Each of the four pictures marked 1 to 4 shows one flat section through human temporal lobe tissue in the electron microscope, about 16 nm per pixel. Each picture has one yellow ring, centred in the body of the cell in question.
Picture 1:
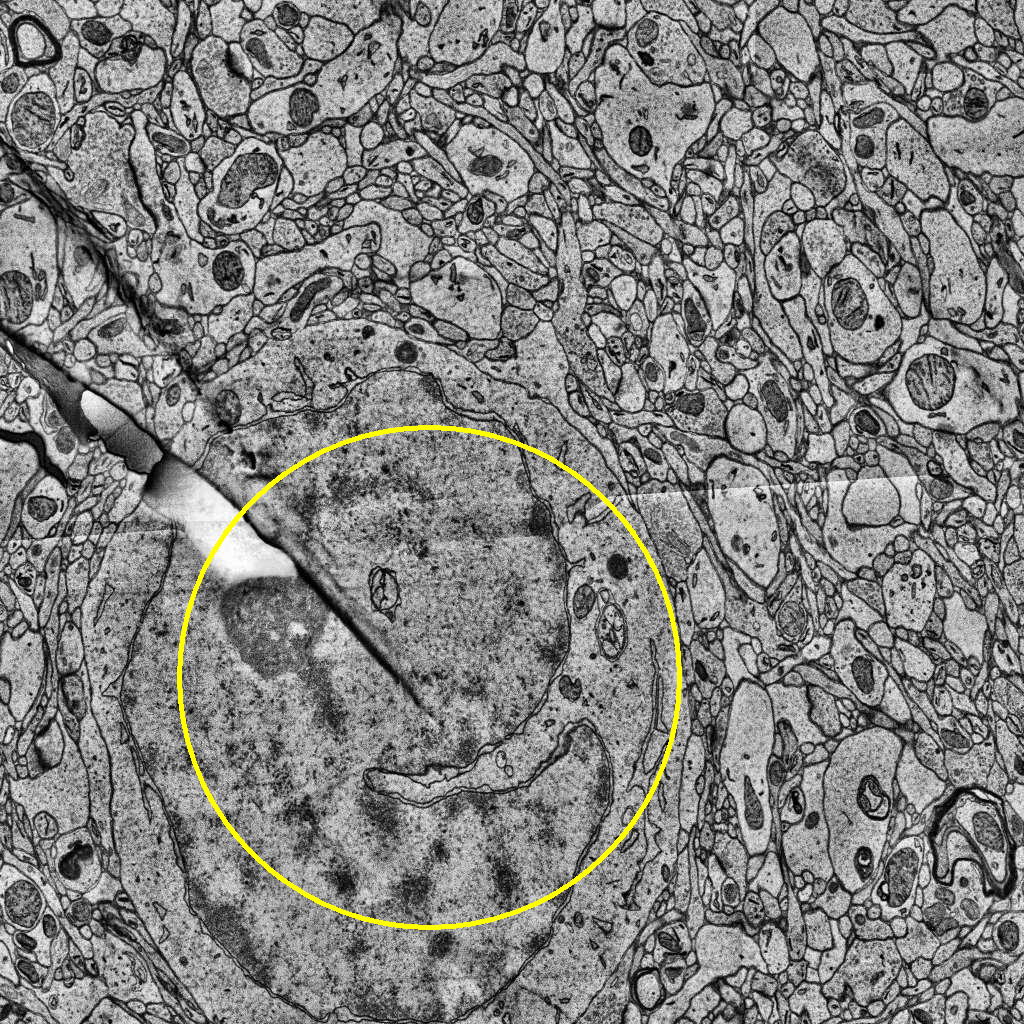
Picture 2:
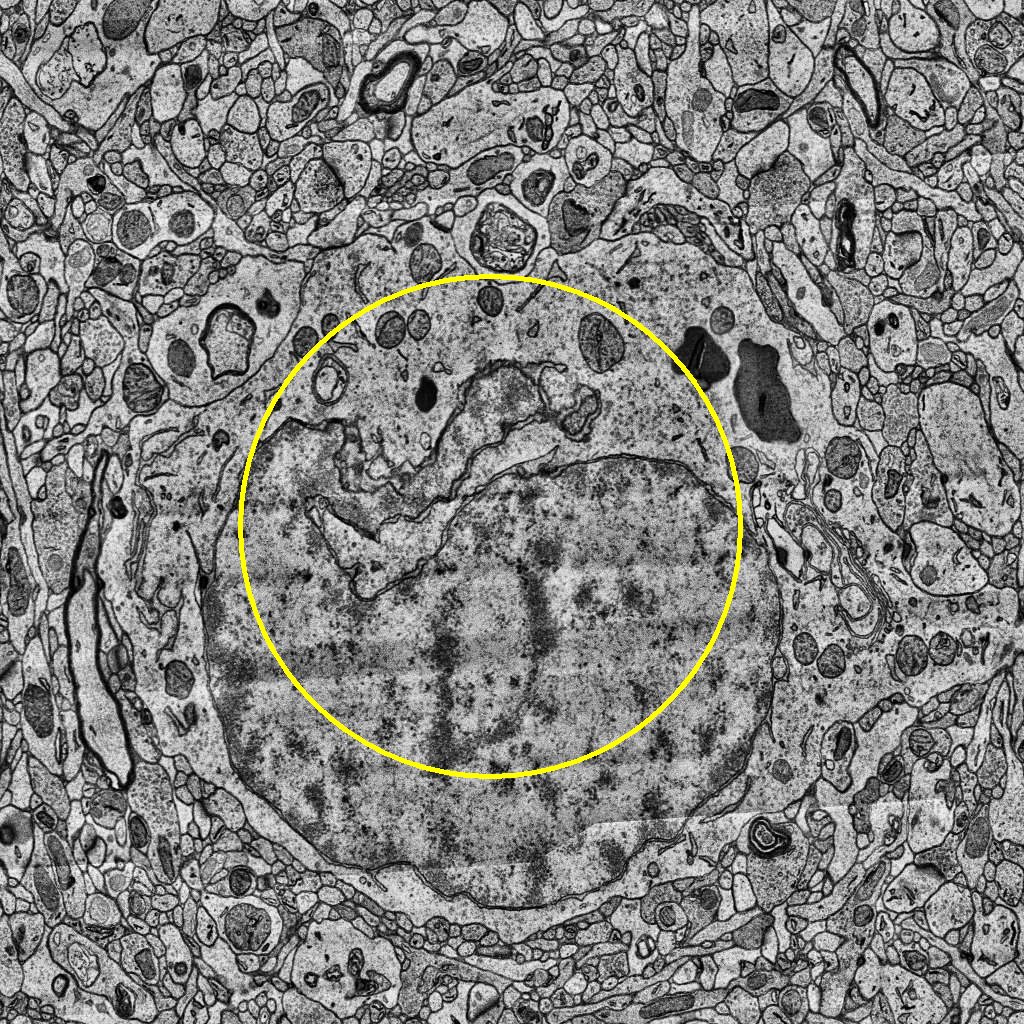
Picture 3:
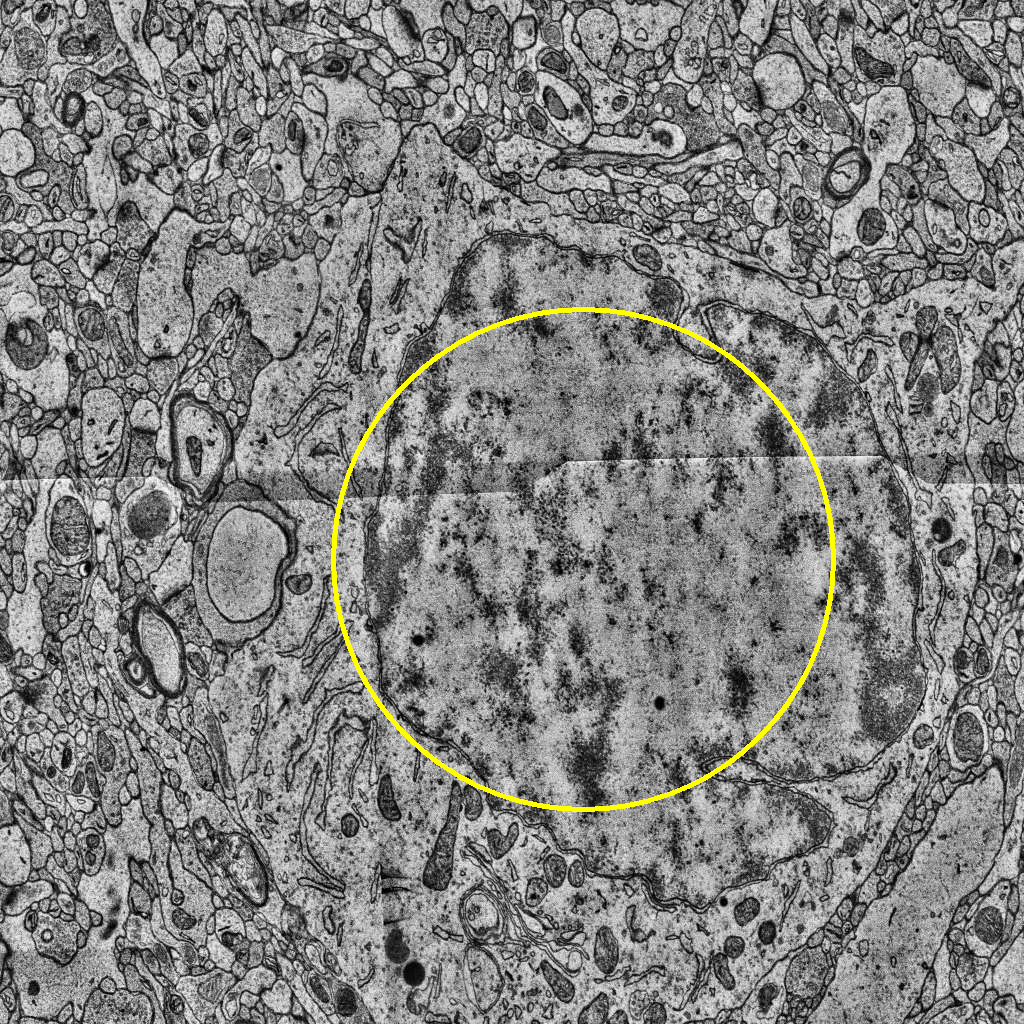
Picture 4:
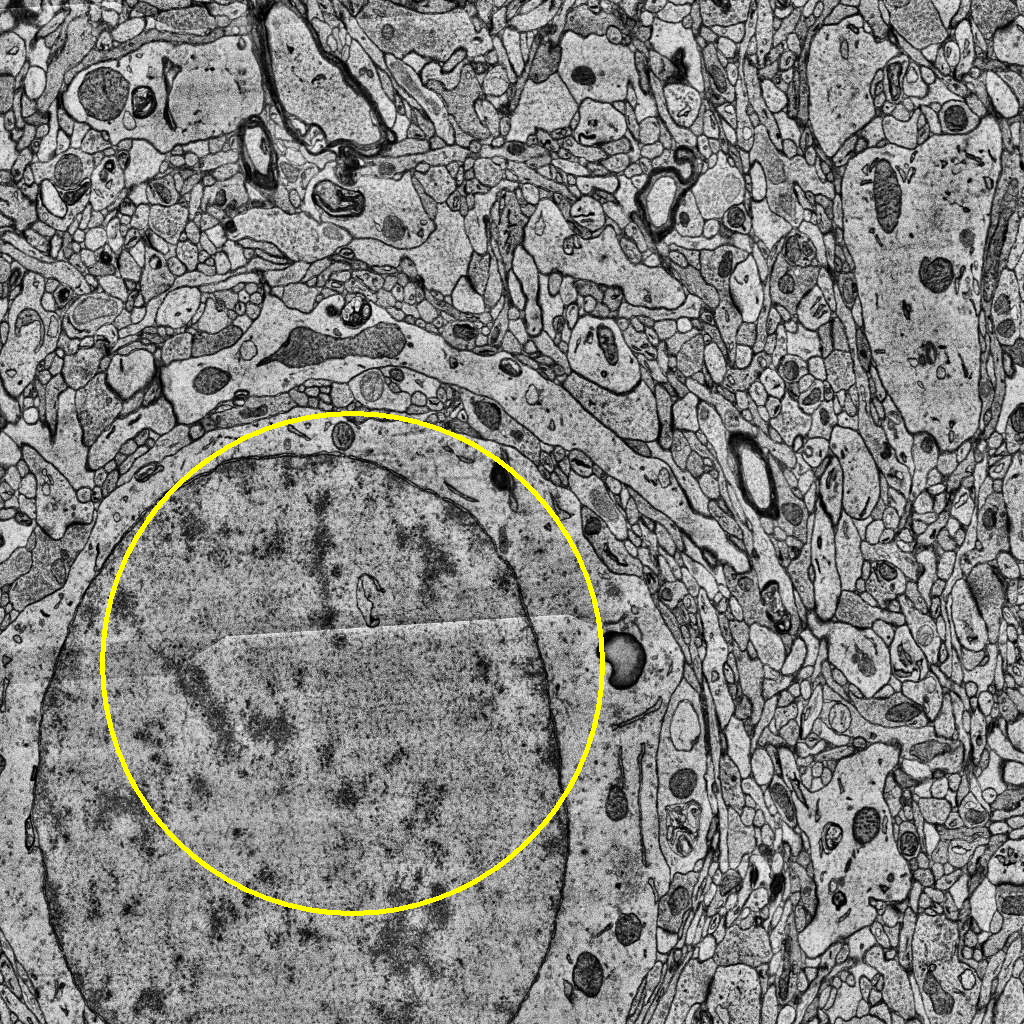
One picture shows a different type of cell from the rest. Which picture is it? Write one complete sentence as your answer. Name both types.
The others show interneurons, but picture 4 shows a pyramidal neuron.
